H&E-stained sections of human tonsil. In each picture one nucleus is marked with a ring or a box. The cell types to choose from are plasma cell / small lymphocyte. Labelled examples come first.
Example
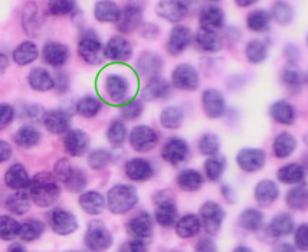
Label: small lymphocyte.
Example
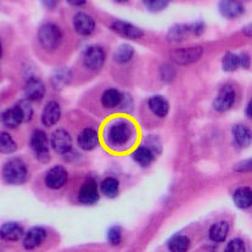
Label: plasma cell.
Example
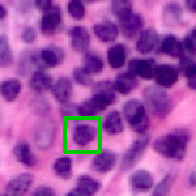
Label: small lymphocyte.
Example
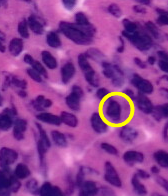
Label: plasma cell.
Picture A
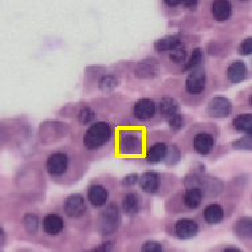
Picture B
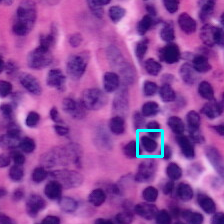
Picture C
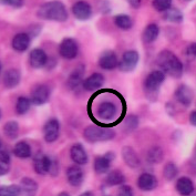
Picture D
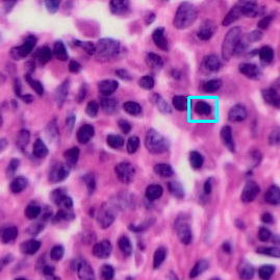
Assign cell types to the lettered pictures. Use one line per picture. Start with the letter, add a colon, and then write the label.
A: plasma cell.
B: small lymphocyte.
C: plasma cell.
D: plasma cell.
